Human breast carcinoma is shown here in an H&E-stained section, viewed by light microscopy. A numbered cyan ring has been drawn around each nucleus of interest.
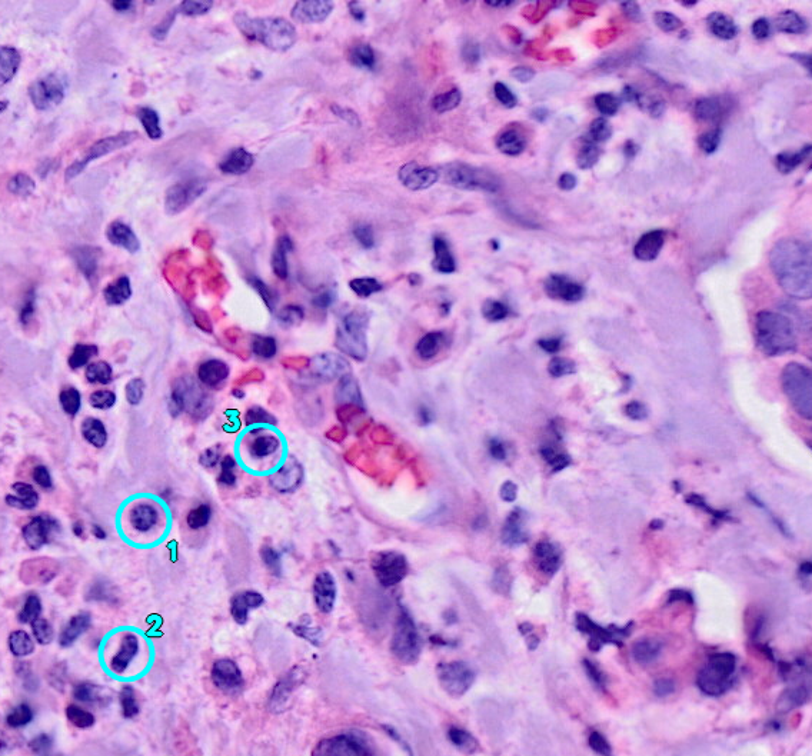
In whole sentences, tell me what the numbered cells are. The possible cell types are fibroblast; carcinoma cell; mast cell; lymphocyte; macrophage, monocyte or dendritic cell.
Cell 1 is a mast cell. Cells 2 and 3 are lymphocytes.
